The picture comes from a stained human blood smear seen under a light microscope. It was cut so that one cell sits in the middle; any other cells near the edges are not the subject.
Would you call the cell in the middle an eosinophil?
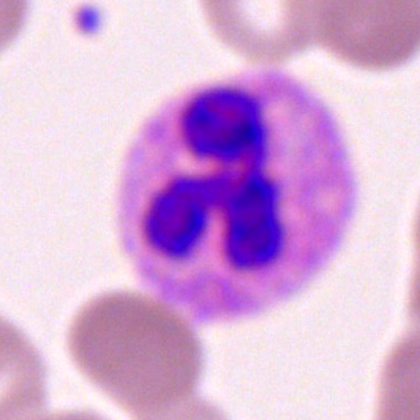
no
